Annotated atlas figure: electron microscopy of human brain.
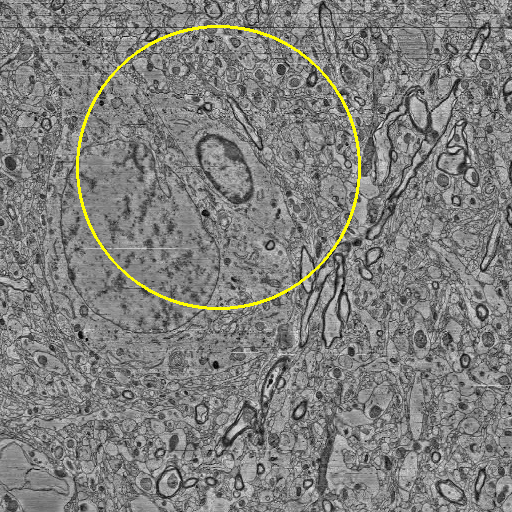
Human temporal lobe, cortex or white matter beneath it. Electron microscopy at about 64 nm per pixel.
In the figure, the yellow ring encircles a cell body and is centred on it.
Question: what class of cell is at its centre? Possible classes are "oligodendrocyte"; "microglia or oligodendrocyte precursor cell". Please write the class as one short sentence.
The yellow ring is drawn around a microglial cell or oligodendrocyte precursor cell.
